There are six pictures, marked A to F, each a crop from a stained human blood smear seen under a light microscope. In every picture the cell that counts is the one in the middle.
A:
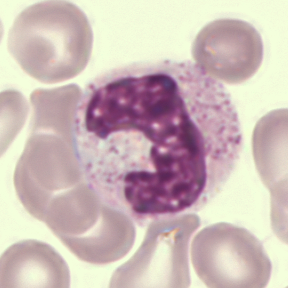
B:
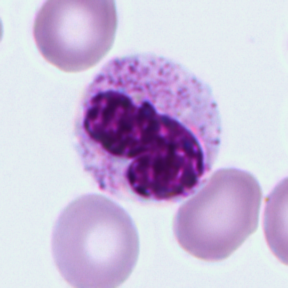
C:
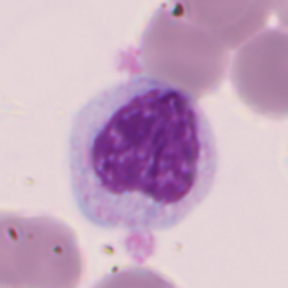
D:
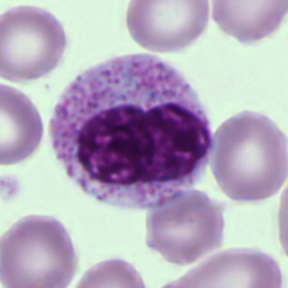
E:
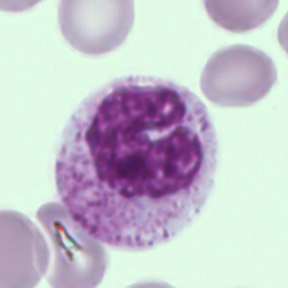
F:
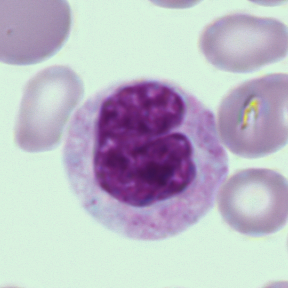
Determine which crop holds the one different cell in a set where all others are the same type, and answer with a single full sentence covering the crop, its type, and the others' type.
Crop C is the only crop with a metamyelocyte, the others all showing band neutrophils.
